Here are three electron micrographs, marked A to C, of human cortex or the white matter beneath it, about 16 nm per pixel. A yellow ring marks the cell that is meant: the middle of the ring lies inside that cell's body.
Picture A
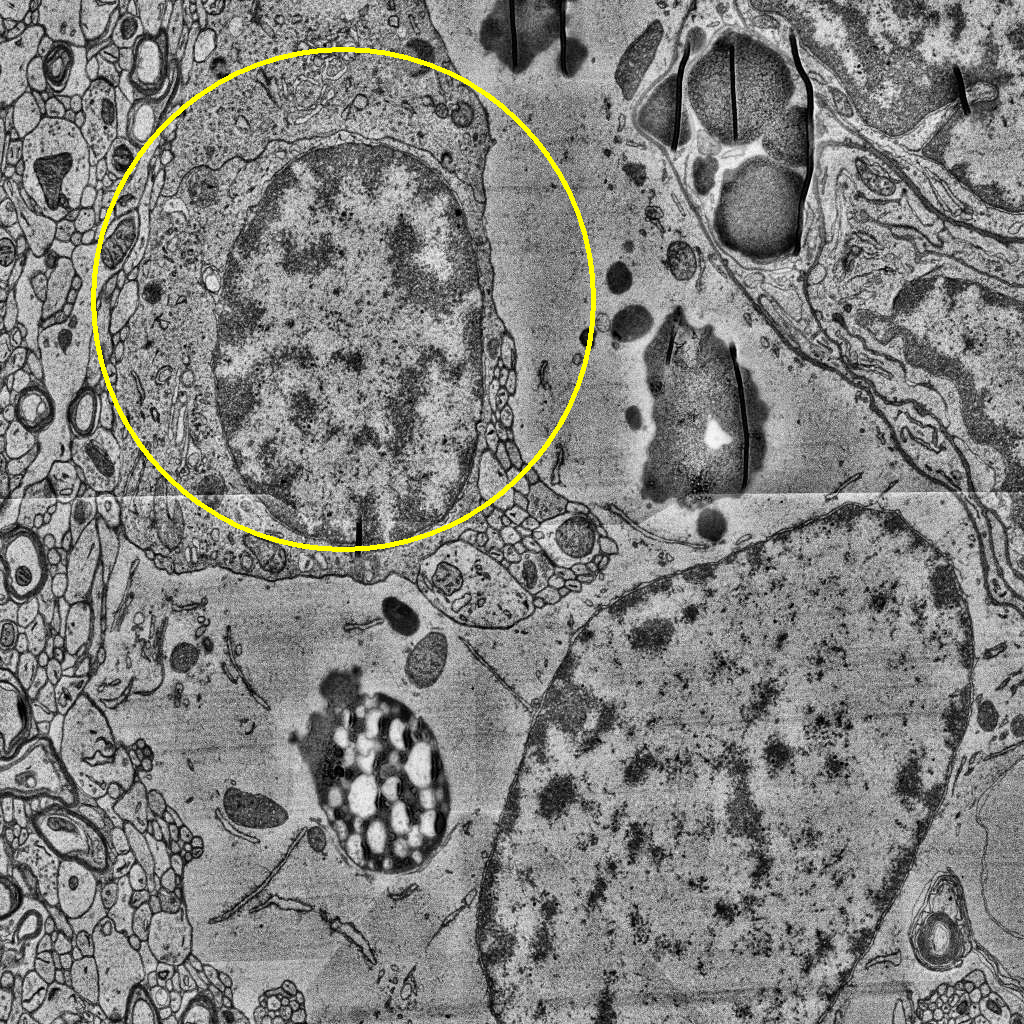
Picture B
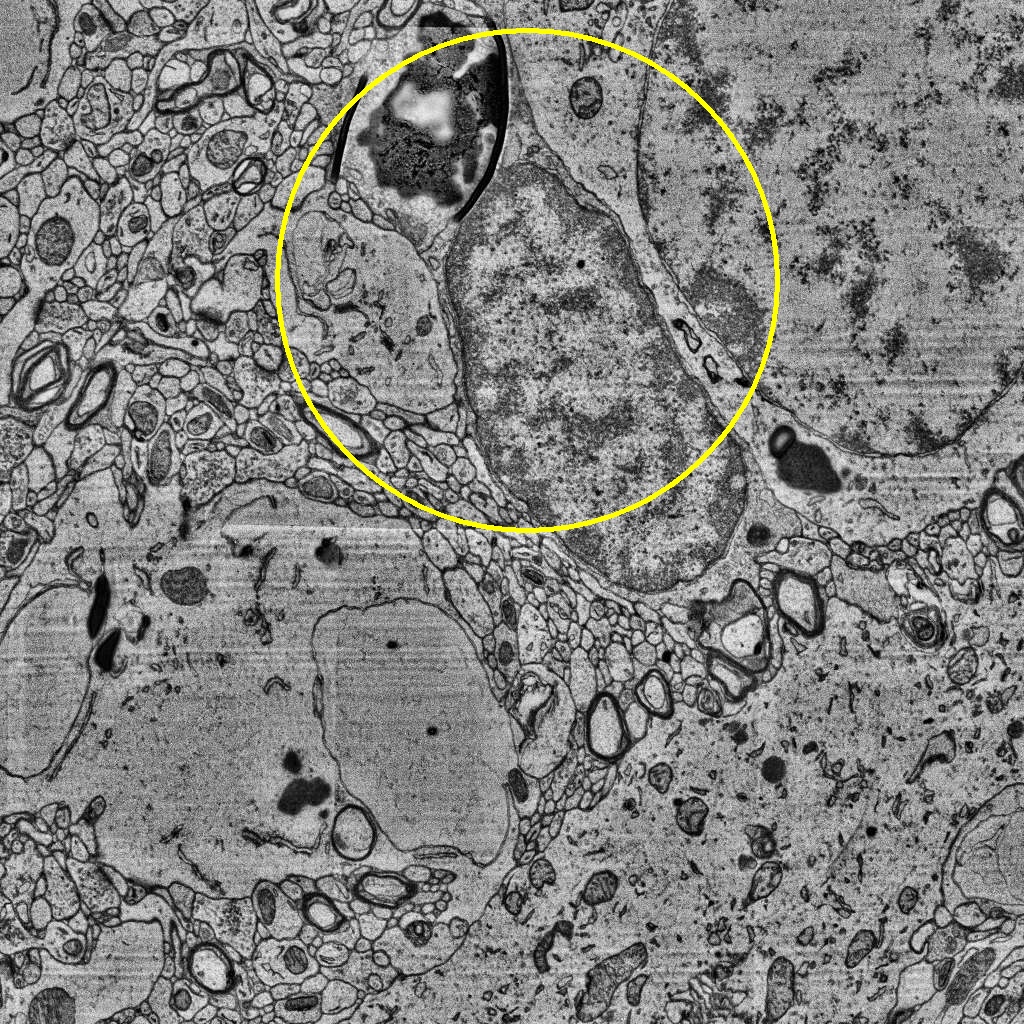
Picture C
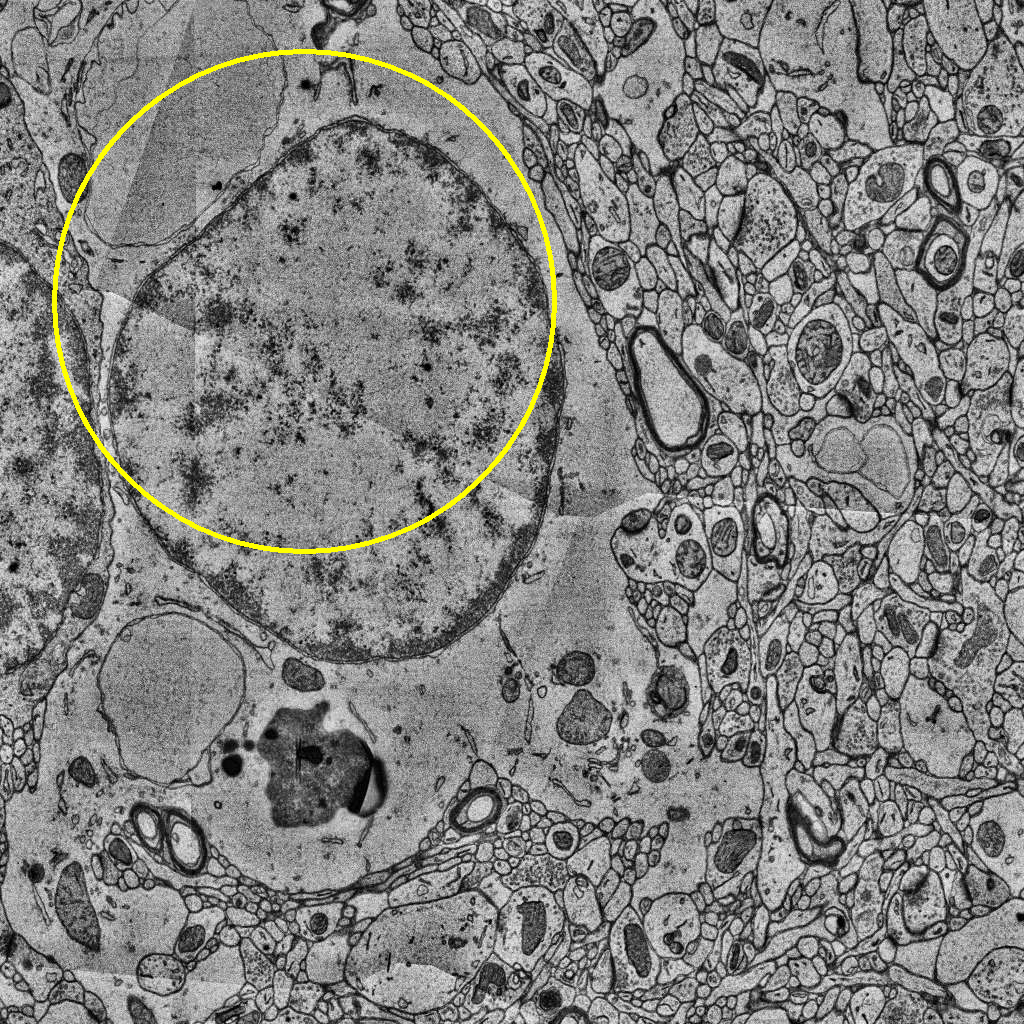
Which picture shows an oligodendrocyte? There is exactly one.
Picture A shows the oligodendrocyte.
